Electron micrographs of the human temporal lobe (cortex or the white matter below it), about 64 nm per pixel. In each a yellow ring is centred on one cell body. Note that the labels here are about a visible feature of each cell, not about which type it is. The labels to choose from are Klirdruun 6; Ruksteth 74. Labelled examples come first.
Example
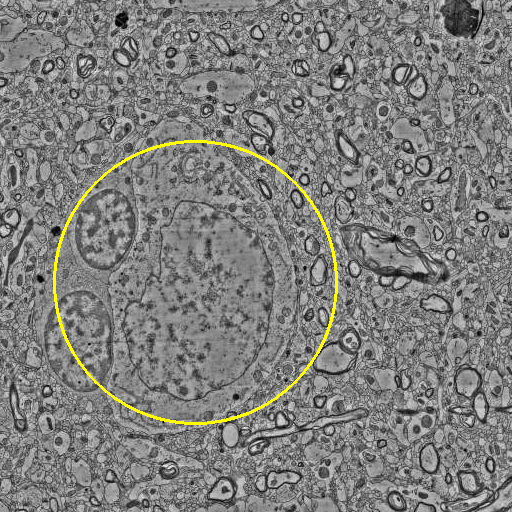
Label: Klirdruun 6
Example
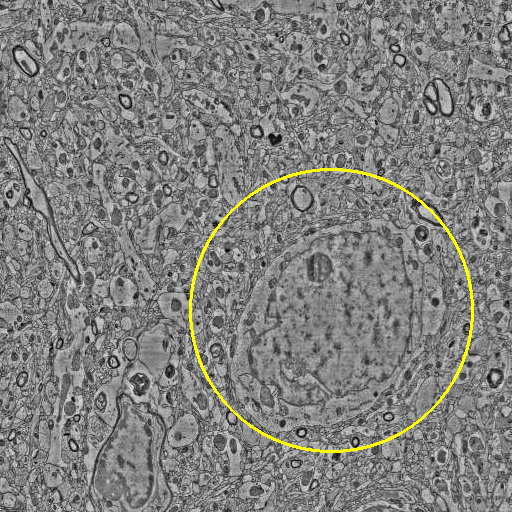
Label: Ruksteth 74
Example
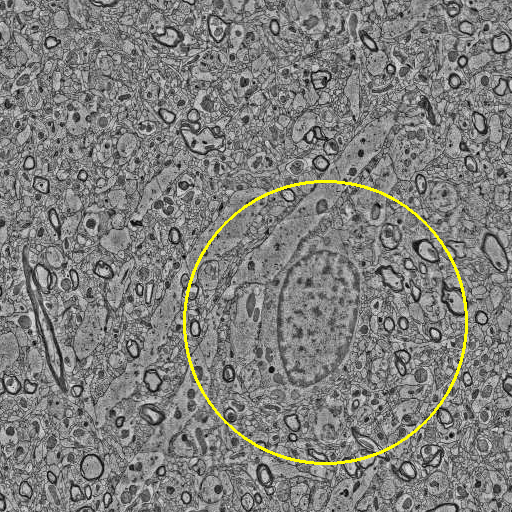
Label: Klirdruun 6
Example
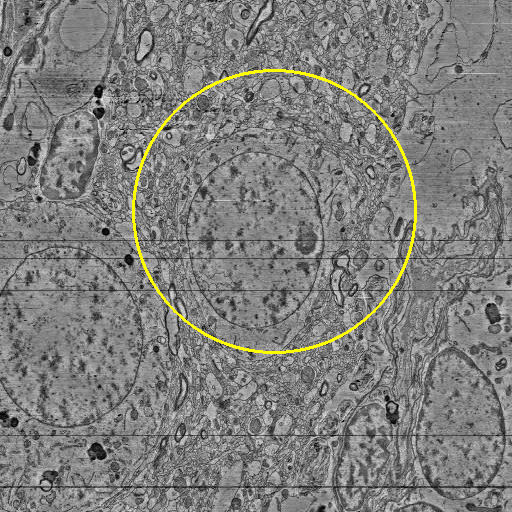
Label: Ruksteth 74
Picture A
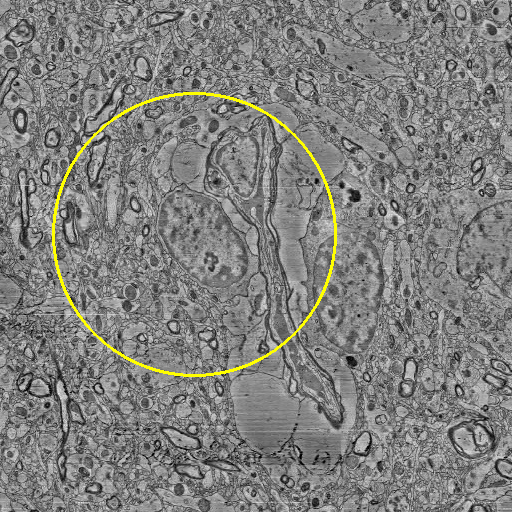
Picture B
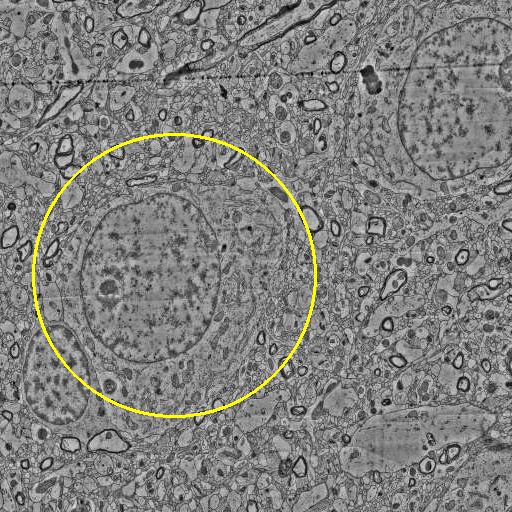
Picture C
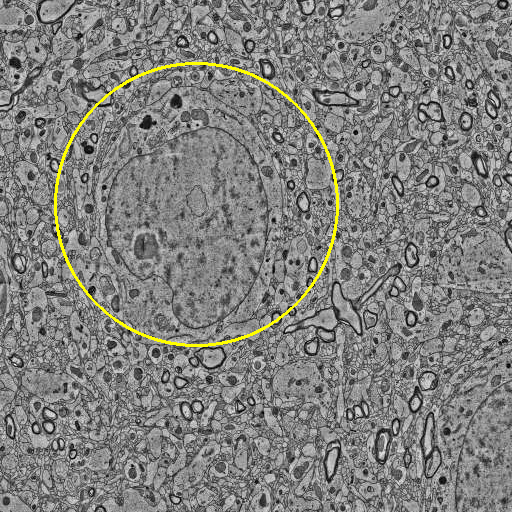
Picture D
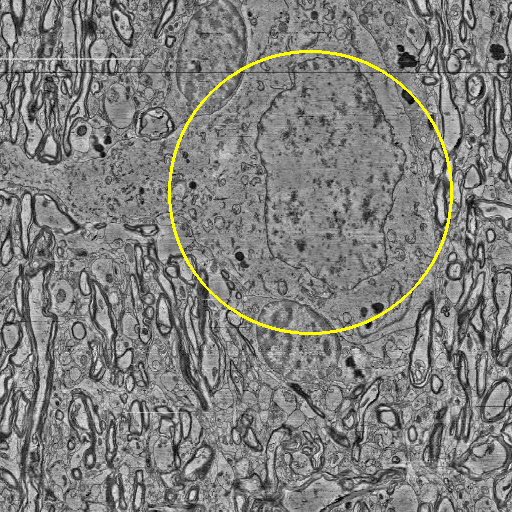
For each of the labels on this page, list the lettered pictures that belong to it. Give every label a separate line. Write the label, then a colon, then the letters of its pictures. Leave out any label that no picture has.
Klirdruun 6: D
Ruksteth 74: A, B, C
